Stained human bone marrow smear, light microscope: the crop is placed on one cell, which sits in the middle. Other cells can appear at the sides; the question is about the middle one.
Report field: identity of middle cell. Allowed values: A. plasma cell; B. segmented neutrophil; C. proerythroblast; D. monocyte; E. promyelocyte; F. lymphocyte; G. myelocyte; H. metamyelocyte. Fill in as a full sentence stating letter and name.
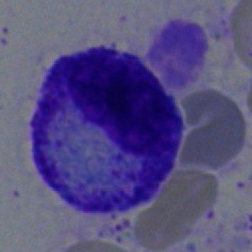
The centrally positioned cell is a myelocyte, consistent with option G, which is correct.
